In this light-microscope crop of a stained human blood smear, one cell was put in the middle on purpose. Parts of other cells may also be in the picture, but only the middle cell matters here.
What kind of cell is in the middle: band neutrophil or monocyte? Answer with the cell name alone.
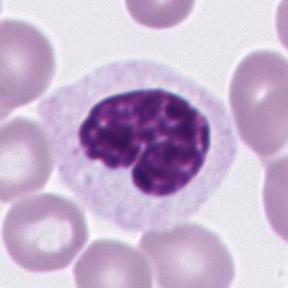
band neutrophil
